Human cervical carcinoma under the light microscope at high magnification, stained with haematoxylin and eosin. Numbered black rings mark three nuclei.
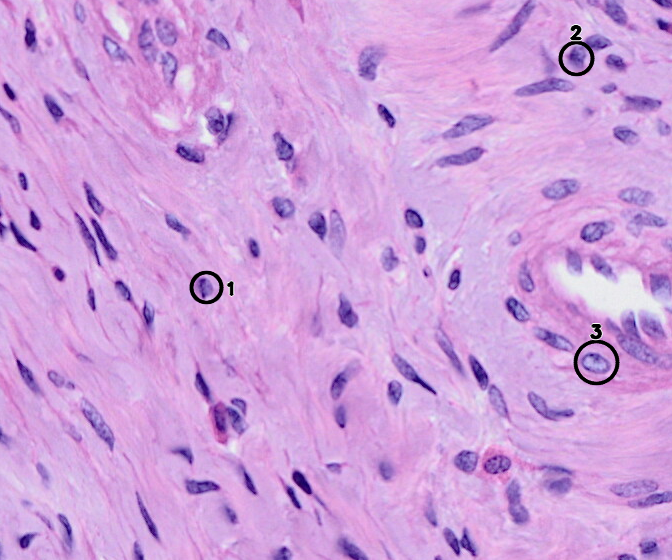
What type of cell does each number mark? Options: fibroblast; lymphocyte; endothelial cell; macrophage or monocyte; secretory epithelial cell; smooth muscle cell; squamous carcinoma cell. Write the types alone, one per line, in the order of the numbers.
fibroblast
fibroblast
smooth muscle cell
